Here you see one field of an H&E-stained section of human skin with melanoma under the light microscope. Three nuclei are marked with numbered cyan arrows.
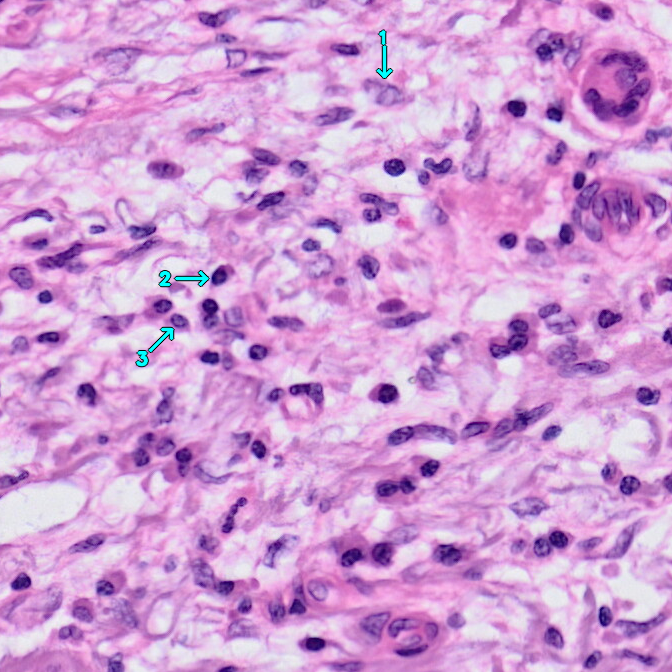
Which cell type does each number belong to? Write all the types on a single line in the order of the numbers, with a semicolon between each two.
fibroblast or myofibroblast; plasma cell; plasma cell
